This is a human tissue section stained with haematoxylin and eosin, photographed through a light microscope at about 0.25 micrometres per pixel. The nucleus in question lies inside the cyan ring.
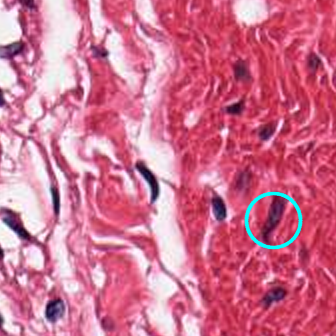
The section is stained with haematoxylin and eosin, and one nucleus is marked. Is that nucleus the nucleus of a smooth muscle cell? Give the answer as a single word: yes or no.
yes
